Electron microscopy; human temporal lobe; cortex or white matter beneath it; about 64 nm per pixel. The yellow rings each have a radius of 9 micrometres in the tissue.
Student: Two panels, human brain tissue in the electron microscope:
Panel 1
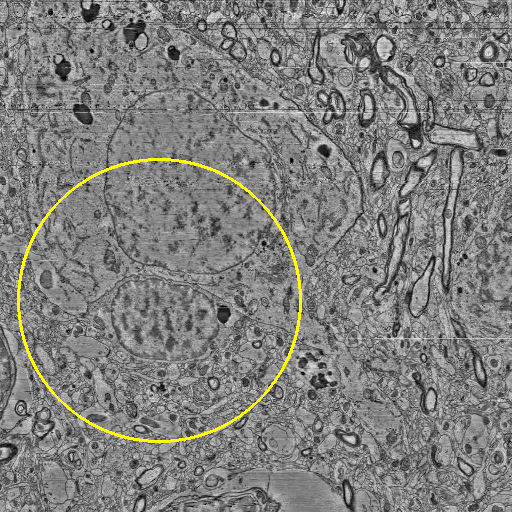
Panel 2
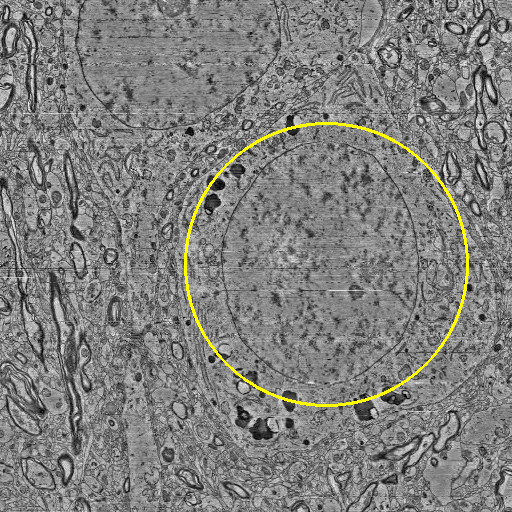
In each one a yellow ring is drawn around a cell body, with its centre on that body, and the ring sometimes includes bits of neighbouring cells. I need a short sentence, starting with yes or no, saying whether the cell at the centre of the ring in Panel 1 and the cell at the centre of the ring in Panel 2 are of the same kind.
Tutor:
No, they are two kinds of cell.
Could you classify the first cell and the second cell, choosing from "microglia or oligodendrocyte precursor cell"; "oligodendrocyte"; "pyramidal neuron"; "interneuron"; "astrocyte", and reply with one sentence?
The second cell is a pyramidal neuron, while the first is an oligodendrocyte.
